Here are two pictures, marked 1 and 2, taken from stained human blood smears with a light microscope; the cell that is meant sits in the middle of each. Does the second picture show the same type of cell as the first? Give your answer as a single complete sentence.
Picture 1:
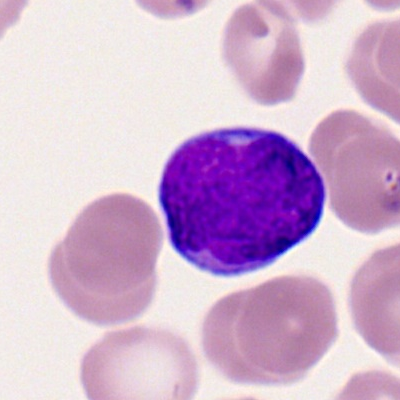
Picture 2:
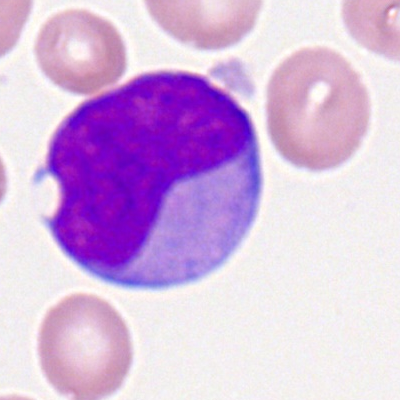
Yes, both cells are myeloblasts.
